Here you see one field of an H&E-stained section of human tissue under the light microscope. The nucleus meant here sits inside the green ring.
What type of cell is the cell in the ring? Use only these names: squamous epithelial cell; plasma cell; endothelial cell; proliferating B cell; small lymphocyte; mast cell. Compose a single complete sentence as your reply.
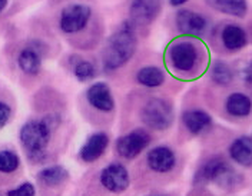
Labelled by cell type, the cell in the ring is a plasma cell.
